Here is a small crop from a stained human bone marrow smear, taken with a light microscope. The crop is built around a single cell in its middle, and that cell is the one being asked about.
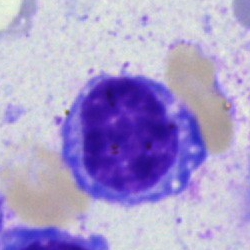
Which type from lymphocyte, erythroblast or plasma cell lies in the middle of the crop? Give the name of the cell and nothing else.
plasma cell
